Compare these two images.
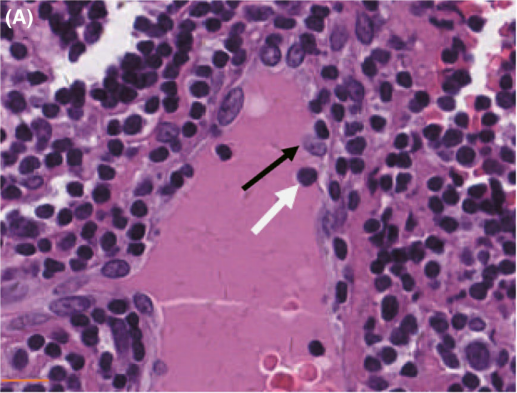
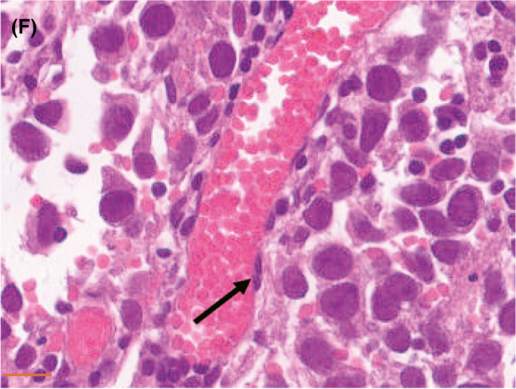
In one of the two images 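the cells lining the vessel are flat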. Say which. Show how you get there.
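The second image. Second image: the vessel wall is lined by thin cells with elongated, flattened nuclei. First image: the vessel lining cells are plump with oval nuclei bulging toward the lumen.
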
